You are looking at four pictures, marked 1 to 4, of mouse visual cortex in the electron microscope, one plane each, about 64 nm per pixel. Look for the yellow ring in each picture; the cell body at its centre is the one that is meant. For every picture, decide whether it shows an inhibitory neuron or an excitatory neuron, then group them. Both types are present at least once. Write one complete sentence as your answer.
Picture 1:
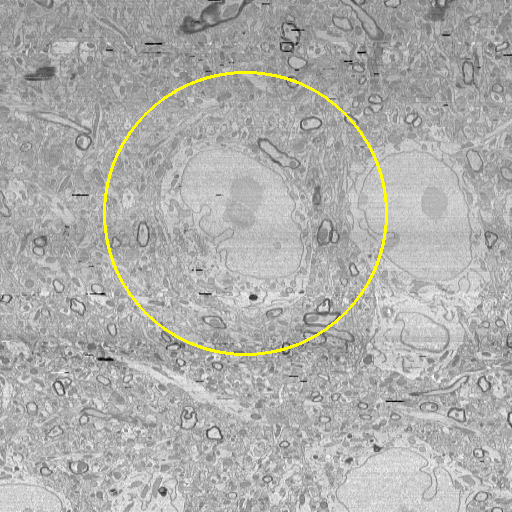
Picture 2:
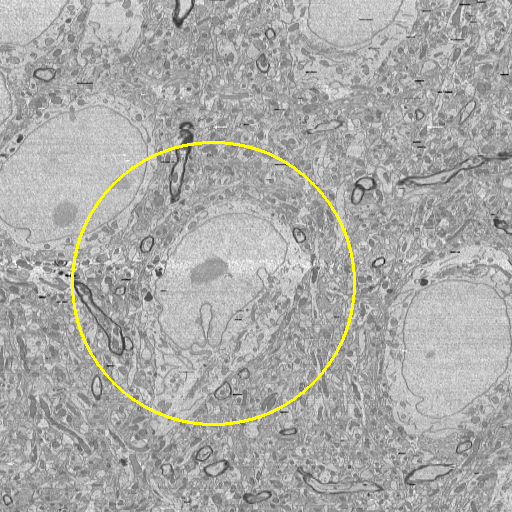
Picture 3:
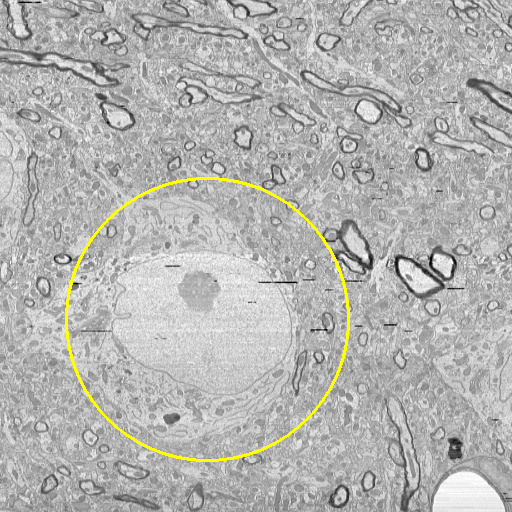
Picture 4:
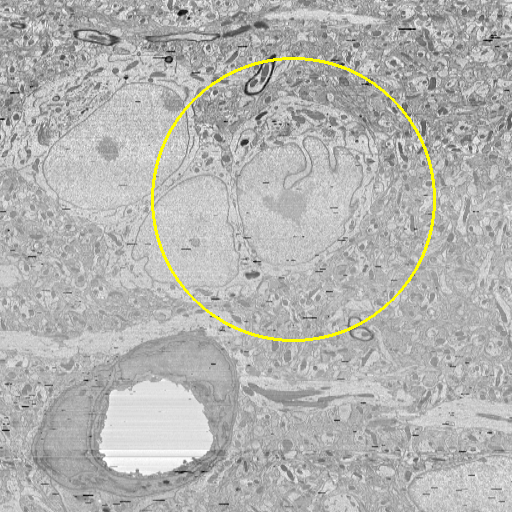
Pictures 1, 2 and 4 show inhibitory neurons; picture 3 shows an excitatory neuron.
